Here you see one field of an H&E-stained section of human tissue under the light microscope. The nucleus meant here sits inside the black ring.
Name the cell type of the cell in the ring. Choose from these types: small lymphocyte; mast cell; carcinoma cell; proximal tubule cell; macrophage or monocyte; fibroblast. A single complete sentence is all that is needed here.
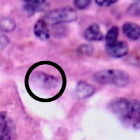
Placed in its cell category, the cell in the ring is a macrophage or monocyte.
